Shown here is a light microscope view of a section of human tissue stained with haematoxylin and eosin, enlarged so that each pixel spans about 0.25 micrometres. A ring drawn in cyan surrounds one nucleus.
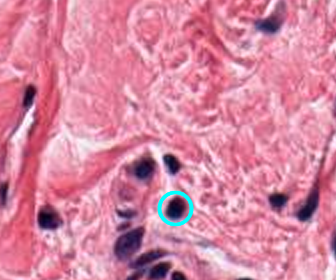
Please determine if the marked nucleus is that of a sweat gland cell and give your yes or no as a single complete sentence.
No, rather than to a sweat gland cell, the marked nucleus belongs to a supporting cell.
